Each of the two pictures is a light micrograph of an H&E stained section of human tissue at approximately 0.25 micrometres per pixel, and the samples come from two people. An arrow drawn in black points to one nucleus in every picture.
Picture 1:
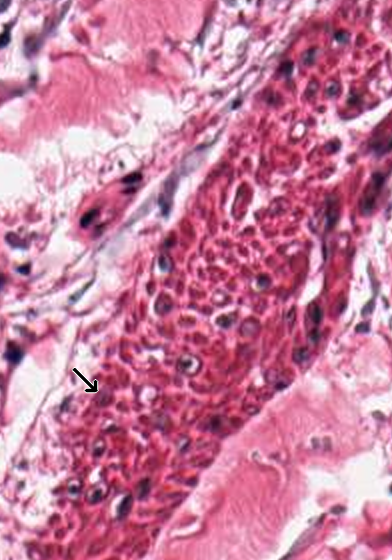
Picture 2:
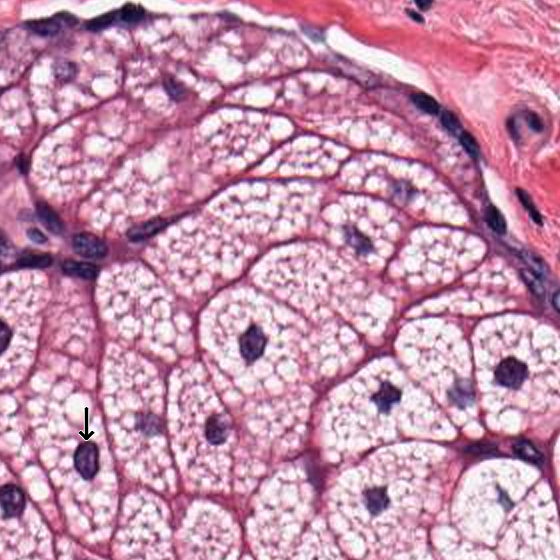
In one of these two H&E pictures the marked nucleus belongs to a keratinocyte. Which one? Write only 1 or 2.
1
